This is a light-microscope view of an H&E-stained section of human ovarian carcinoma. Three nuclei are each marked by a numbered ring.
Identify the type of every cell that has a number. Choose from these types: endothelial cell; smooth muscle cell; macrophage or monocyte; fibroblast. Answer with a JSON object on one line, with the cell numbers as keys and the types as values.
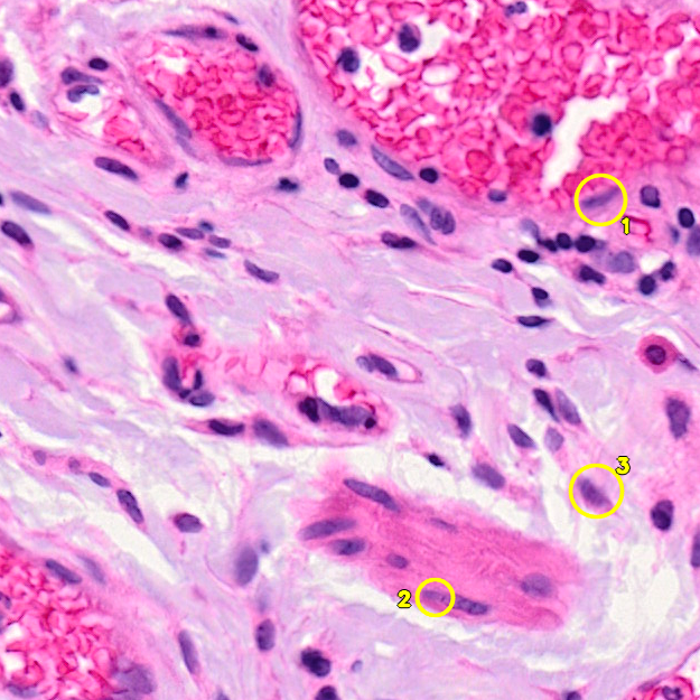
{"1": "endothelial cell", "2": "smooth muscle cell", "3": "fibroblast"}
